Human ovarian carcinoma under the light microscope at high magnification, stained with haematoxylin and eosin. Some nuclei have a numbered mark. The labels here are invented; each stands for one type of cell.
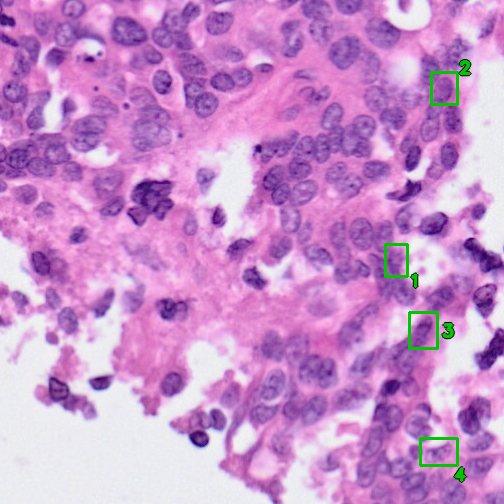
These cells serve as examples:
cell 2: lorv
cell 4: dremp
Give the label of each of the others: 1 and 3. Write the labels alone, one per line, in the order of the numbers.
lorv
lorv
